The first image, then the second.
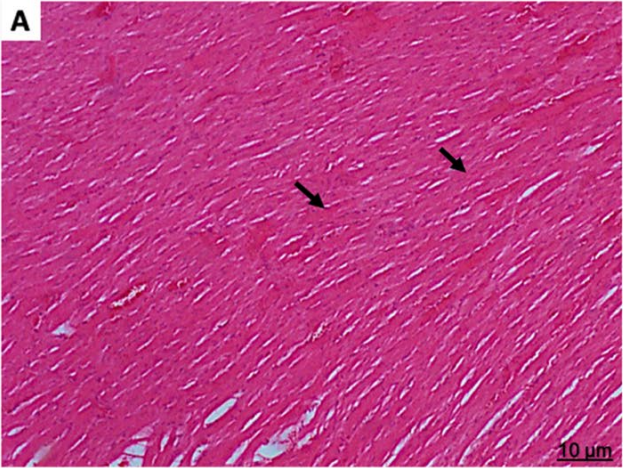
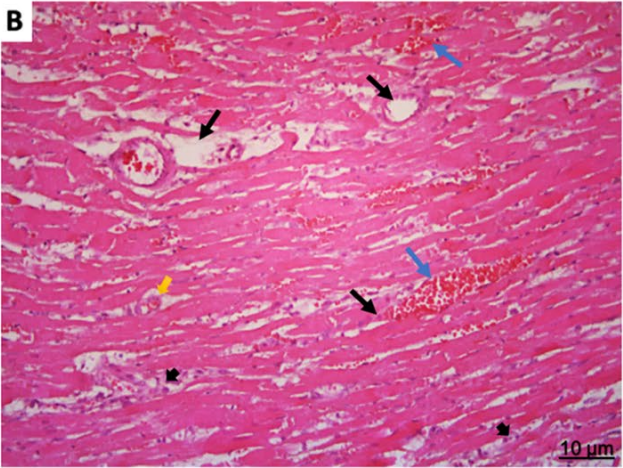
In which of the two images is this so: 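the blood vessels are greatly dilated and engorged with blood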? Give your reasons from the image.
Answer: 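The second image. Second image: several wide spaces between fibers are filled with packed red blood cells. First image: fibers lie tightly together with only narrow slits and no large blood-filled spaces.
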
